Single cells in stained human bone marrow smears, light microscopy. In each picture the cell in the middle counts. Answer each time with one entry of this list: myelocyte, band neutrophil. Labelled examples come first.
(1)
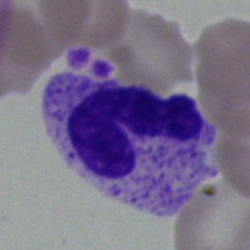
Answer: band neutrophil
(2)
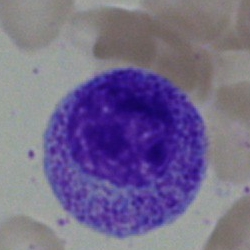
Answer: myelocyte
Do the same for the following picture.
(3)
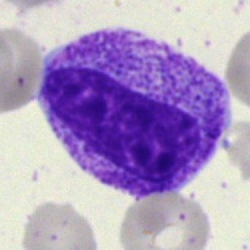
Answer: myelocyte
